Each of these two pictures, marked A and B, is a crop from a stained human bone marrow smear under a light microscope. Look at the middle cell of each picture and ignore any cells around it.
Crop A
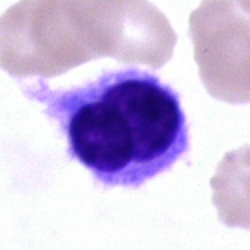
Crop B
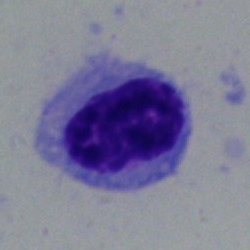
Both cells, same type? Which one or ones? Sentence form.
Yes, both crops alike show hairy cells at the centre.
